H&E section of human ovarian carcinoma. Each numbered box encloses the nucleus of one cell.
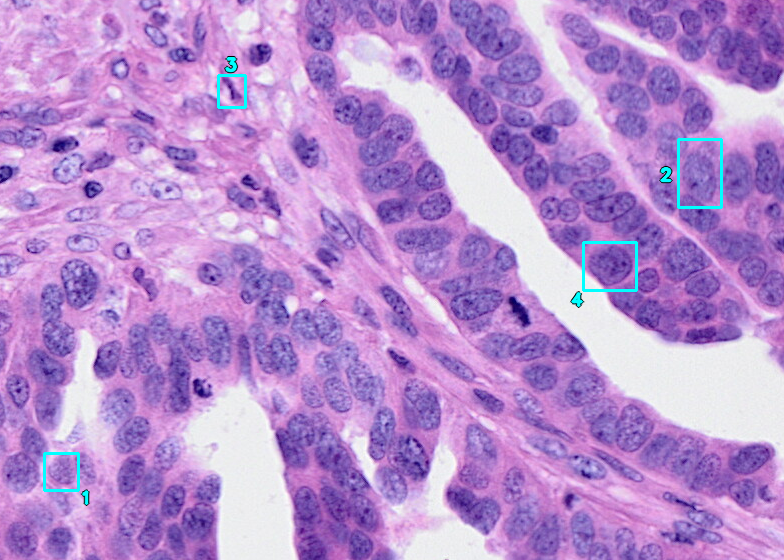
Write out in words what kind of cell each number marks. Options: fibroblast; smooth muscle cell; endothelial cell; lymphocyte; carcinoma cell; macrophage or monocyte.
Cells 1, 2 and 4 are carcinoma cells. Cell 3 is a fibroblast.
